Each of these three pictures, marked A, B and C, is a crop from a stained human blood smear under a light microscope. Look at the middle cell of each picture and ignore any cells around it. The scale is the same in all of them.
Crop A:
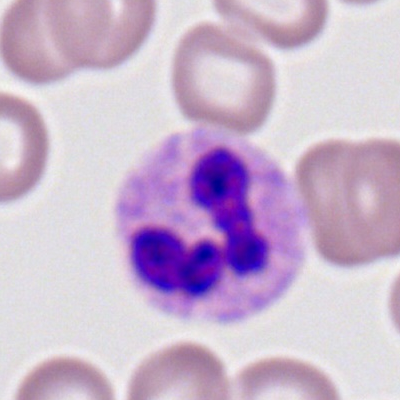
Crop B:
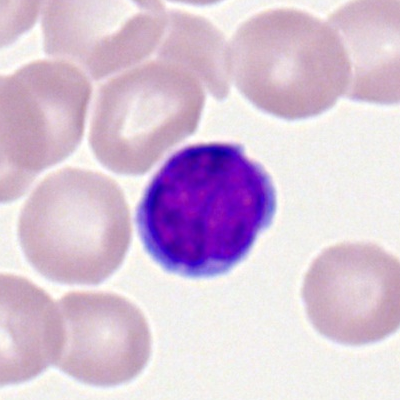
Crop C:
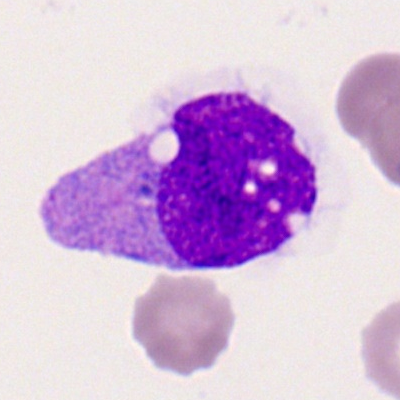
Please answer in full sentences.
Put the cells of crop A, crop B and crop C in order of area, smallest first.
The order is B, A, C, beginning with the smallest.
